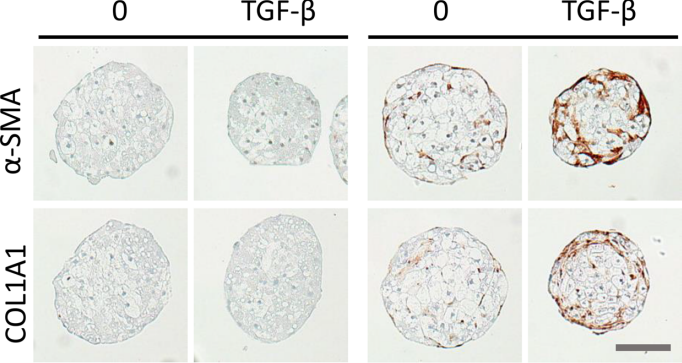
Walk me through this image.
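Round spheroids of large pale polygonal cells with small nuclei are shown in two rows. In the two left-hand columns the cells are almost free of brown, while in the right-hand columns thin elongated brown-stained cells and strands run between the larger cells, densest near the rim of the spheroid in the far right column.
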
